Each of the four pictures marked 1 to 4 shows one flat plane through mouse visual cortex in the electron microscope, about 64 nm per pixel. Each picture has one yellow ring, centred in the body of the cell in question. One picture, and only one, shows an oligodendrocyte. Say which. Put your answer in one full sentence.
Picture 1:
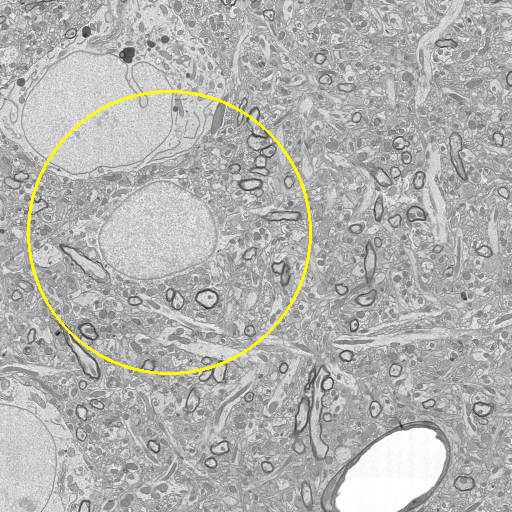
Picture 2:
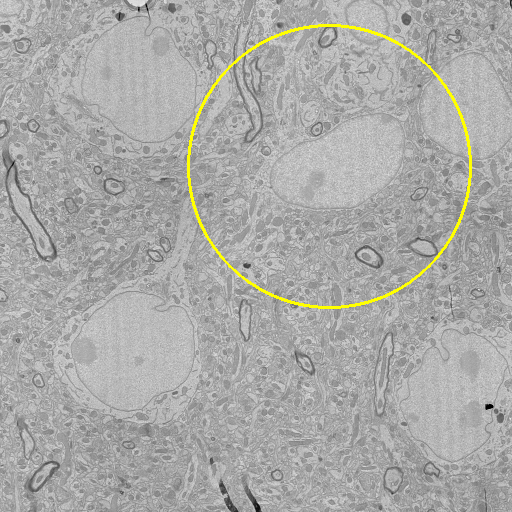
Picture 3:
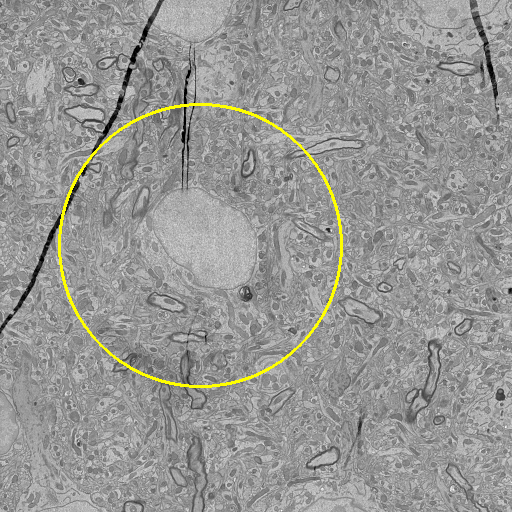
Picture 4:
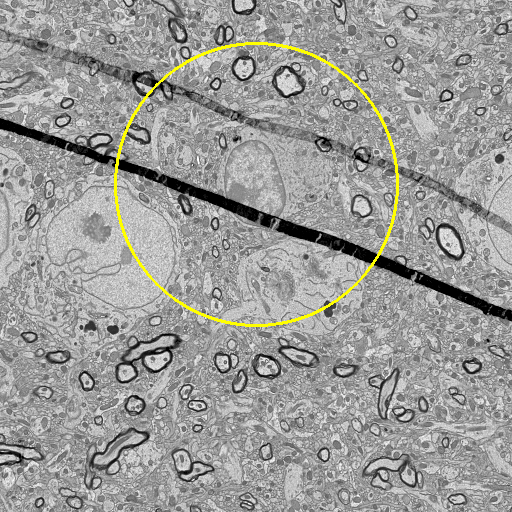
The cell in picture 4 is the oligodendrocyte.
